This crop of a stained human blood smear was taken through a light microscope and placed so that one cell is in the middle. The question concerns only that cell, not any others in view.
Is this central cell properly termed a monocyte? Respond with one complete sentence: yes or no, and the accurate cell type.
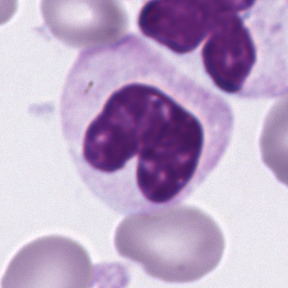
No, the central cell is not a monocyte; it is a band neutrophil.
